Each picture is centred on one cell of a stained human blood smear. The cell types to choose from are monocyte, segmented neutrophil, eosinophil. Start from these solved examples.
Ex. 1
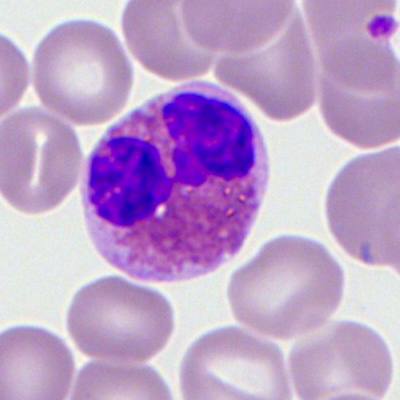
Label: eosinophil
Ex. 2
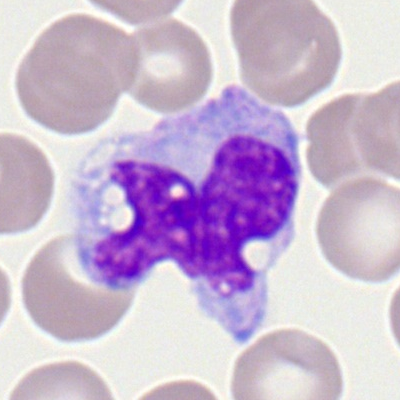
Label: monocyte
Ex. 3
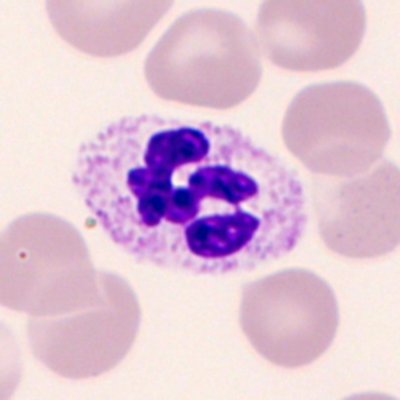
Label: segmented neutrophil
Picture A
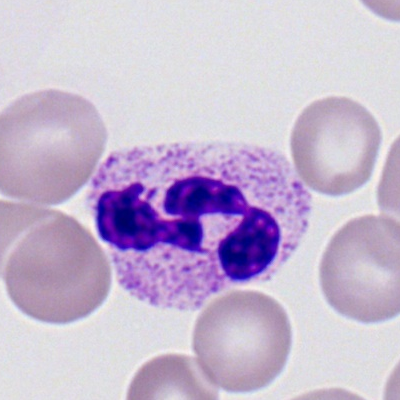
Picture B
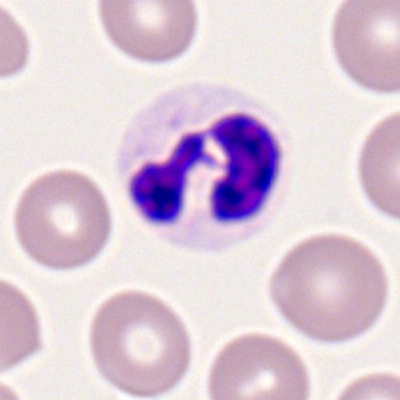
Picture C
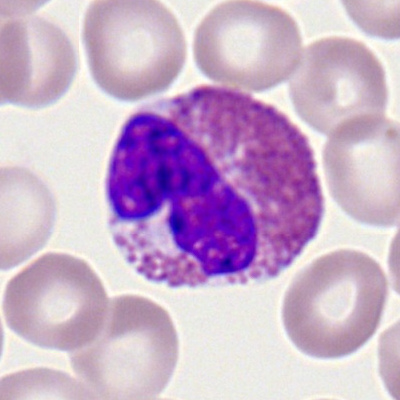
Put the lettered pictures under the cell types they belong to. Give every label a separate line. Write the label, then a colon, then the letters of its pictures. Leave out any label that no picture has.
segmented neutrophil: A, B
eosinophil: C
